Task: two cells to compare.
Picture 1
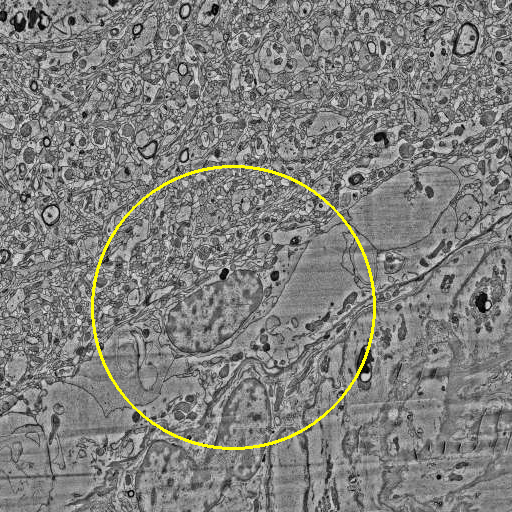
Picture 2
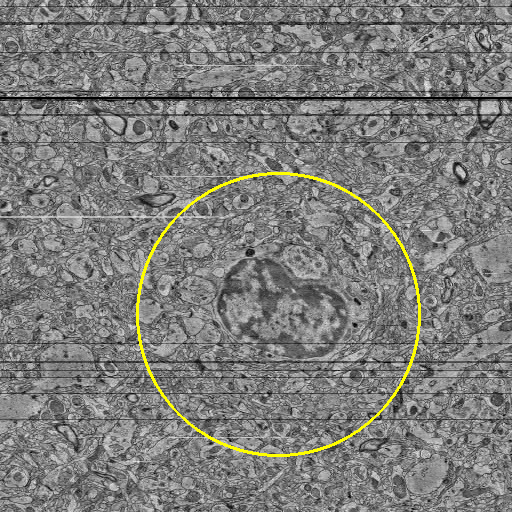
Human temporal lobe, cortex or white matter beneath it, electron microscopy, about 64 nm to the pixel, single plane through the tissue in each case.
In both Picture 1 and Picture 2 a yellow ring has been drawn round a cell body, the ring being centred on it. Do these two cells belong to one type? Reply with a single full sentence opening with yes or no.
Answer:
Yes, the two cells at the ring centres in Picture 1 and Picture 2 share one type.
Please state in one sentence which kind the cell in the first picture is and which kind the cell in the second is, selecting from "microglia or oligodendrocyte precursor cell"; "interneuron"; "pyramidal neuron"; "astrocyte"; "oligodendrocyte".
Each one of the two ringed cells is a microglial cell or oligodendrocyte precursor cell.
